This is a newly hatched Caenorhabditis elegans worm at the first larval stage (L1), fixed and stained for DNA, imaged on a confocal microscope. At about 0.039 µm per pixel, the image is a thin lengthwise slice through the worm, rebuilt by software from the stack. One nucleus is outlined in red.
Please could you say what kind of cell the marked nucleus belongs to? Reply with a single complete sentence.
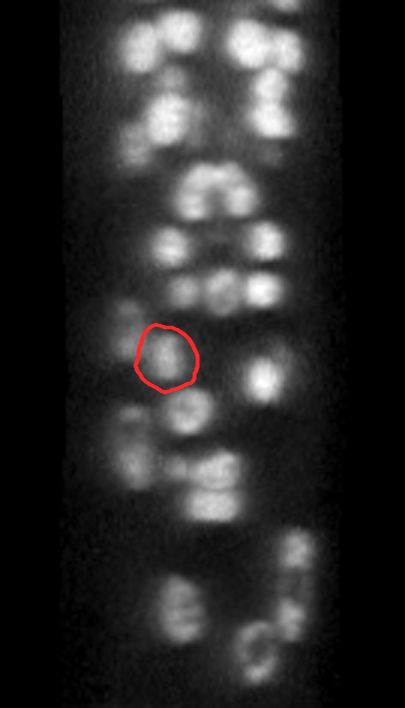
The marked nucleus belongs to a pharyngeal marginal cell.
